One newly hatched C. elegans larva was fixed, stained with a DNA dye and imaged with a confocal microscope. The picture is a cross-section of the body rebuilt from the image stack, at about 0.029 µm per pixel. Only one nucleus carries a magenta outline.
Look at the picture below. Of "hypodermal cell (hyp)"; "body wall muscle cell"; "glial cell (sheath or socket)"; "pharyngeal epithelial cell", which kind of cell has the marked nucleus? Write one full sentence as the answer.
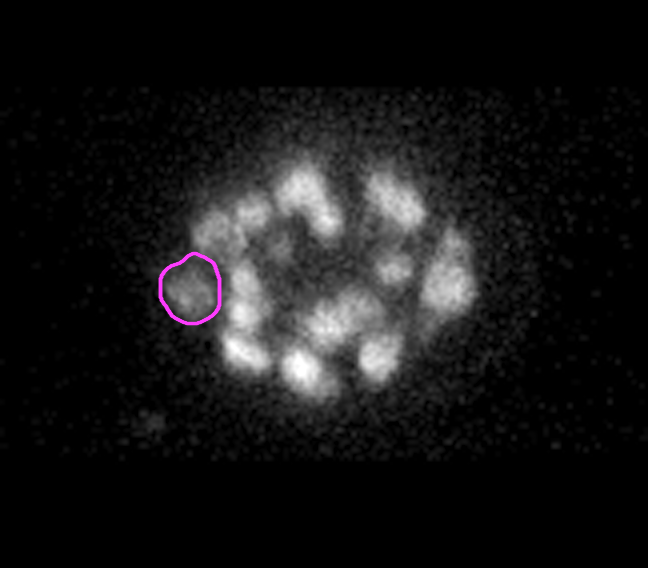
It is the nucleus of a hypodermal cell (hyp).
